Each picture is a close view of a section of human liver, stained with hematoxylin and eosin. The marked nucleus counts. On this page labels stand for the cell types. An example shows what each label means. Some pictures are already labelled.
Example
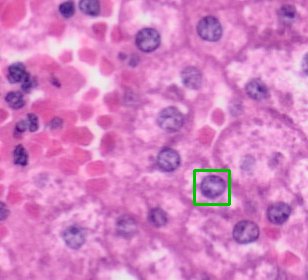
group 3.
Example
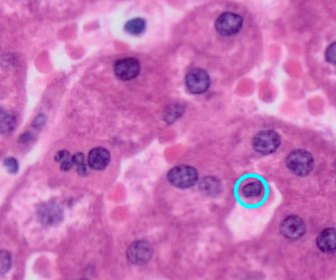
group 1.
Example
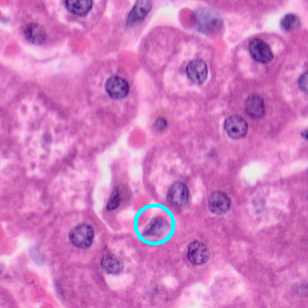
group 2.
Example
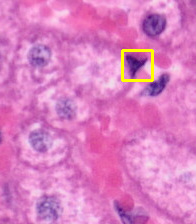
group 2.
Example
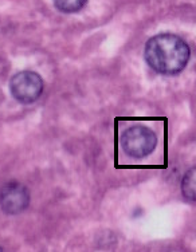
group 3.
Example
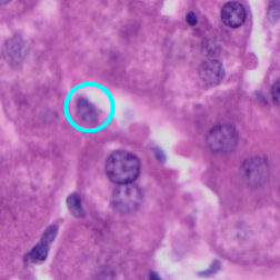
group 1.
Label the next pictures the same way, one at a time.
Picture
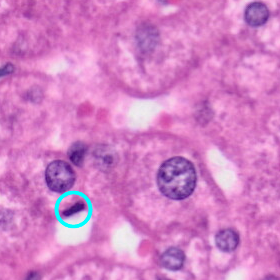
group 2.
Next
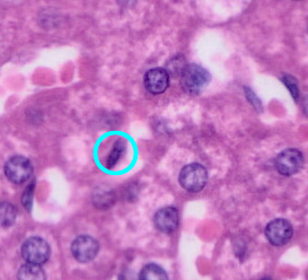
group 1.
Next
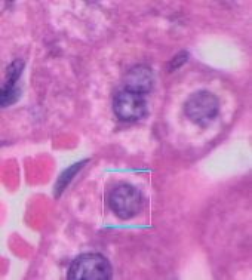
group 3.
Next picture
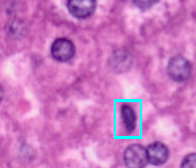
group 1.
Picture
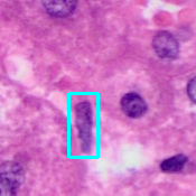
group 1.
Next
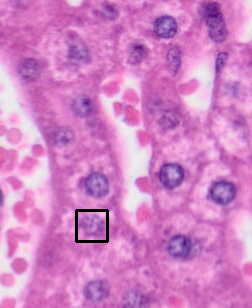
group 3.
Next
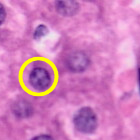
group 3.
